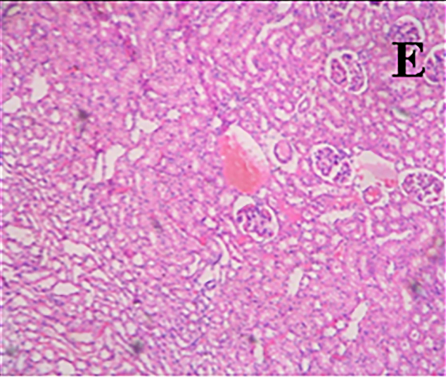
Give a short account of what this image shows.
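This is kidney cortex, with several round glomeruli sitting in their capsular spaces among many tubules cut in cross section. In the middle a vessel is widened and filled with red blood. Small dark nuclei are scattered between the tubules.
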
